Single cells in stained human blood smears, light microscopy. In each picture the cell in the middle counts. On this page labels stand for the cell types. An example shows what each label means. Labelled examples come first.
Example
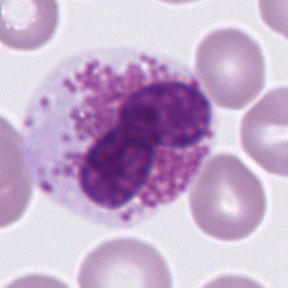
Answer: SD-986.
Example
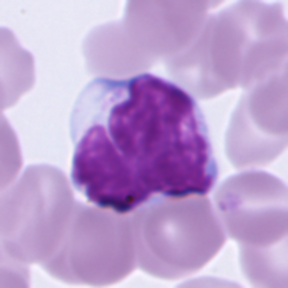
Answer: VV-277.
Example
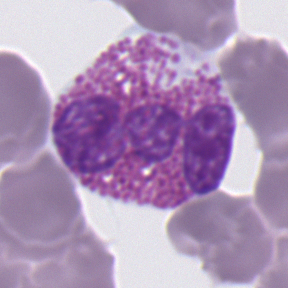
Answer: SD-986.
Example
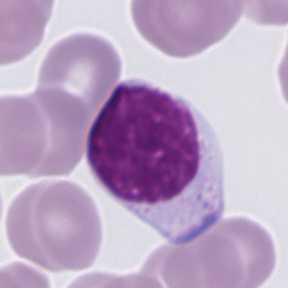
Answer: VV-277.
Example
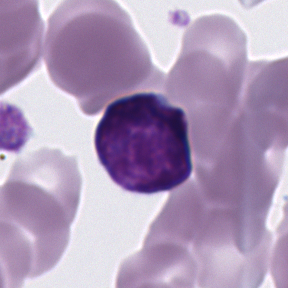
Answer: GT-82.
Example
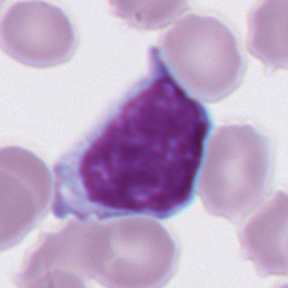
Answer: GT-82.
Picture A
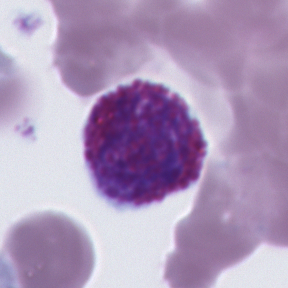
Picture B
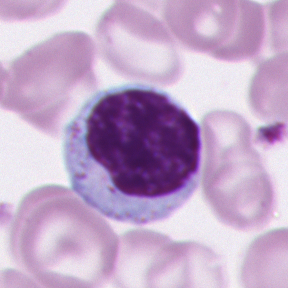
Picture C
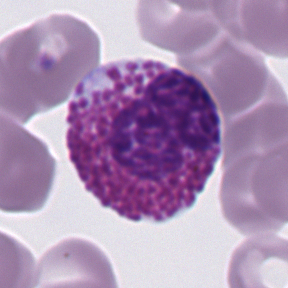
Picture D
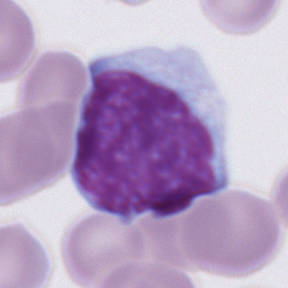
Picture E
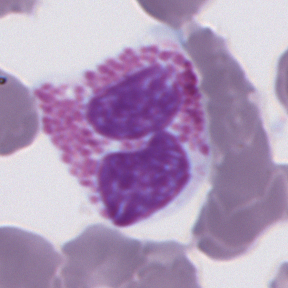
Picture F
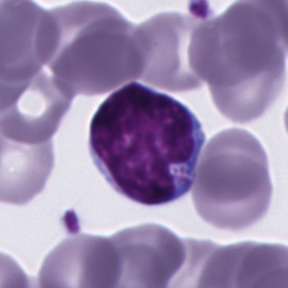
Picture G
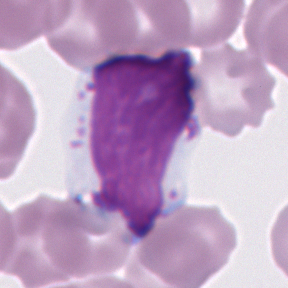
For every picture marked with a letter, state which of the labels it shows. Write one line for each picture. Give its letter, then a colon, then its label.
A: SD-986.
B: VV-277.
C: SD-986.
D: GT-82.
E: SD-986.
F: GT-82.
G: VV-277.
